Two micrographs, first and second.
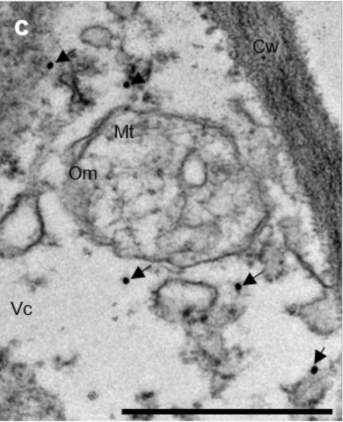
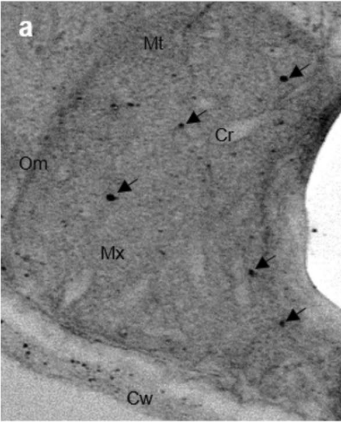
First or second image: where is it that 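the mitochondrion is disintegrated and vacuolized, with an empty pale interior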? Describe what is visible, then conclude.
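The first image. First image: the organelle is pale inside with only loose membrane fragments and vesicles. Second image: the organelle has a uniform, fine-grained dense matrix with faint cristae.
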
